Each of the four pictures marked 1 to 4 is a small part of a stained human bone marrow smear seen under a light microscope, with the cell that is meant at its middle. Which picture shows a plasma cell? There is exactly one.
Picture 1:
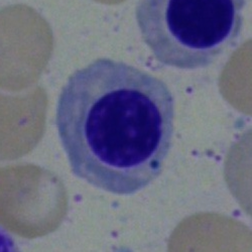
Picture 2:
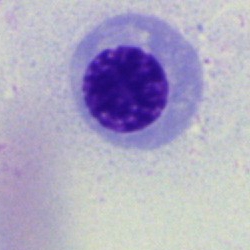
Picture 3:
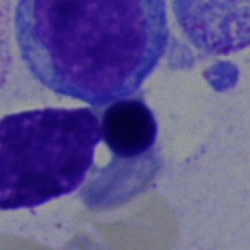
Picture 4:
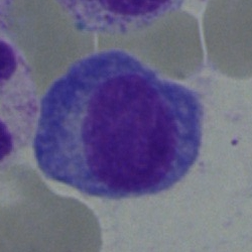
4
